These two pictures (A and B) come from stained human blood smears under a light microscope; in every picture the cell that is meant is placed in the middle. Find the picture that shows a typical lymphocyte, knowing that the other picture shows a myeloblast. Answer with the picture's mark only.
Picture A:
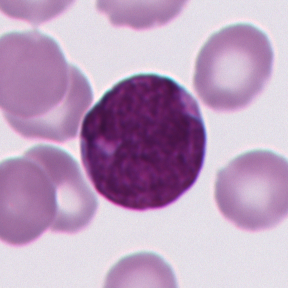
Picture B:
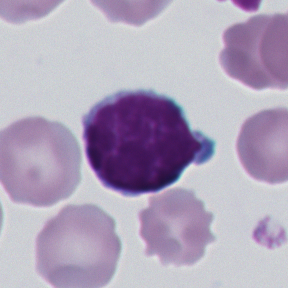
B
